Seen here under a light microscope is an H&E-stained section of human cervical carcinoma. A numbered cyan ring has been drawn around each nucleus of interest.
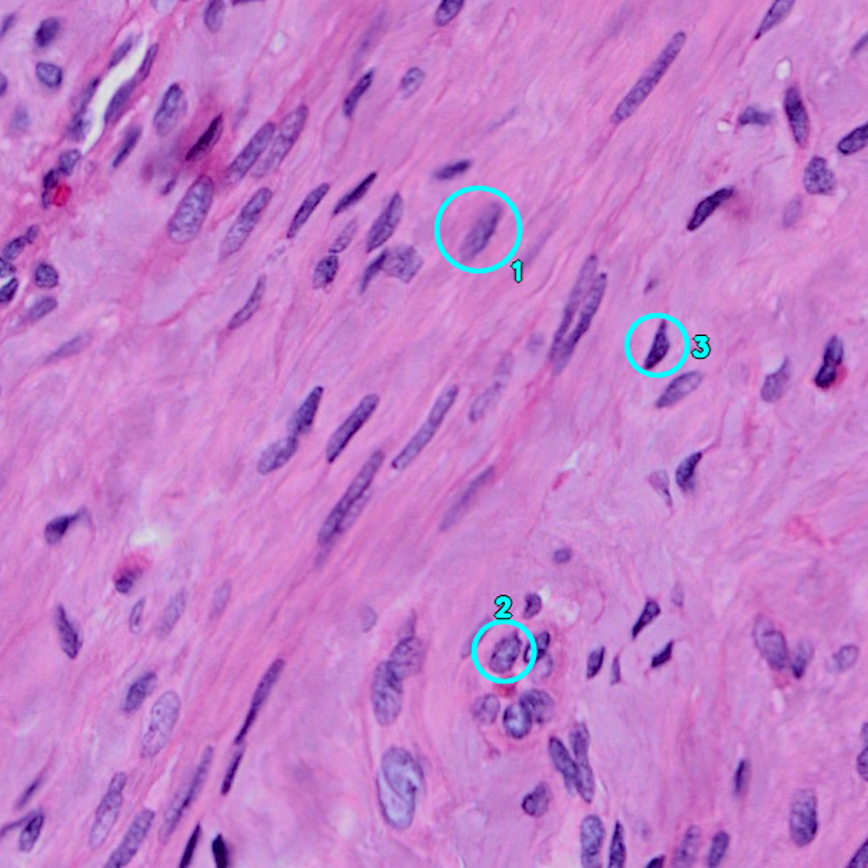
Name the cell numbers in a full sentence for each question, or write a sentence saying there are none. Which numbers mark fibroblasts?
Classified as fibroblasts are the cells numbered 1 and 3.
